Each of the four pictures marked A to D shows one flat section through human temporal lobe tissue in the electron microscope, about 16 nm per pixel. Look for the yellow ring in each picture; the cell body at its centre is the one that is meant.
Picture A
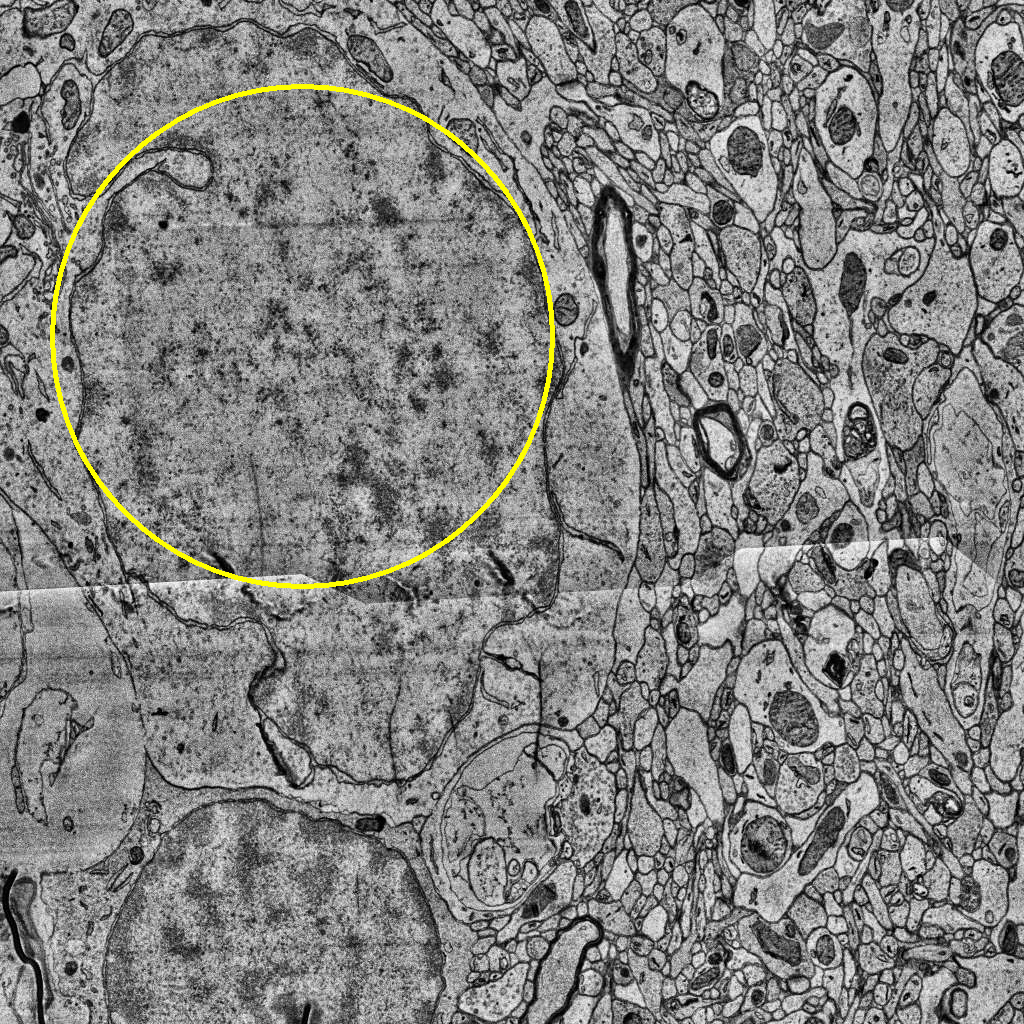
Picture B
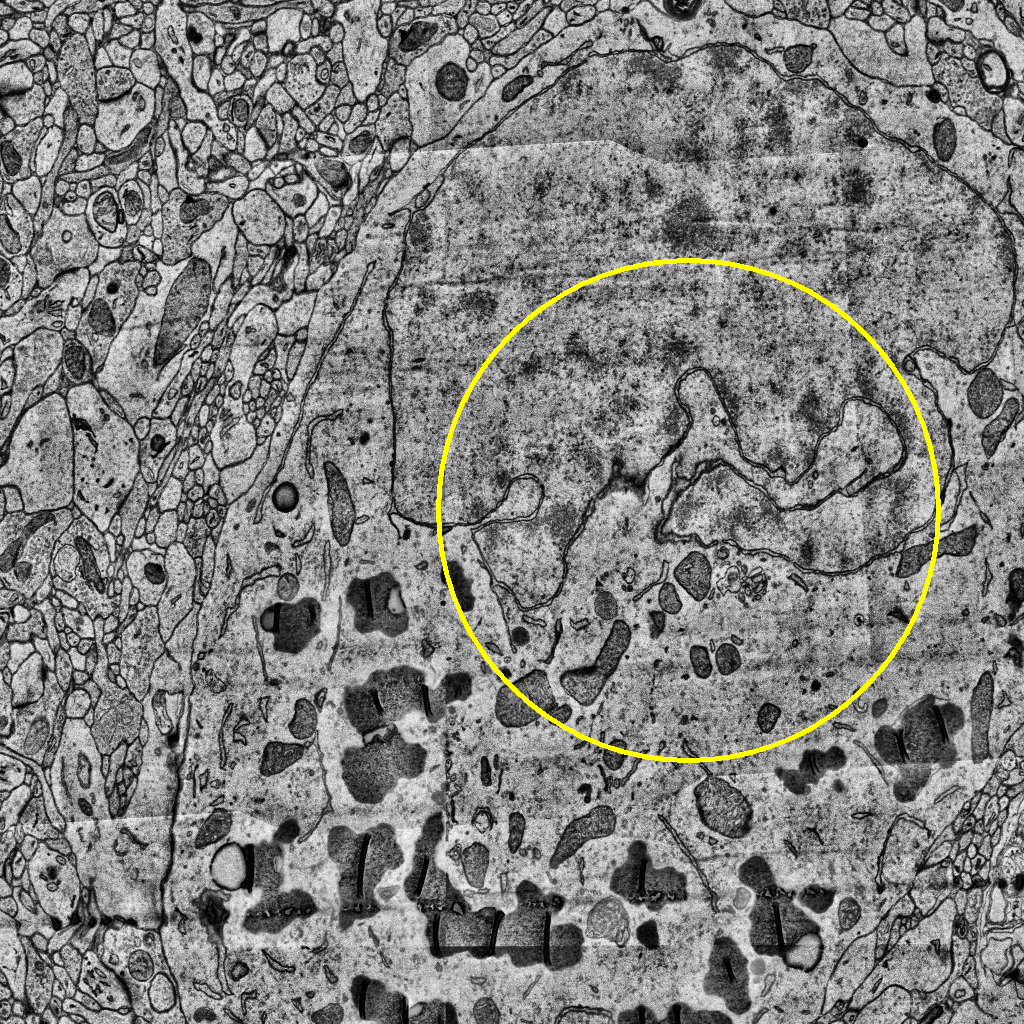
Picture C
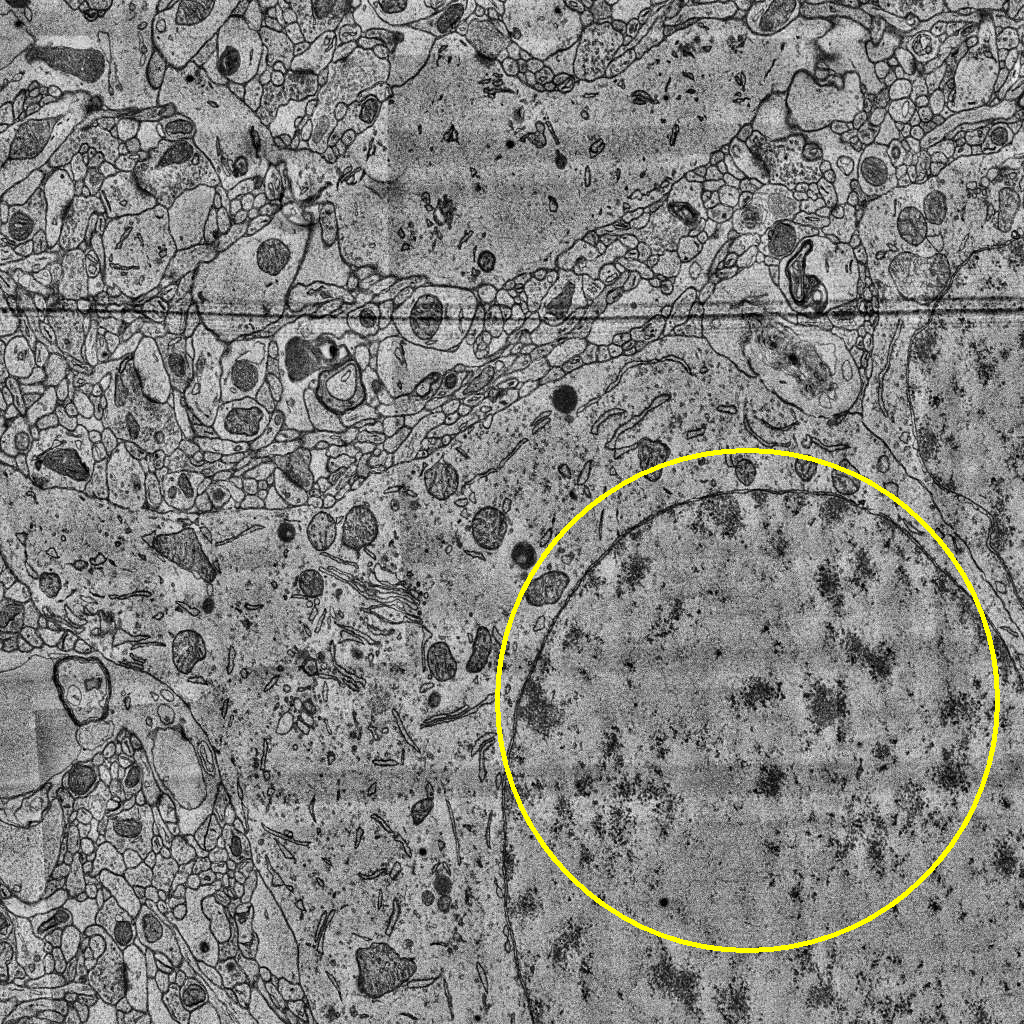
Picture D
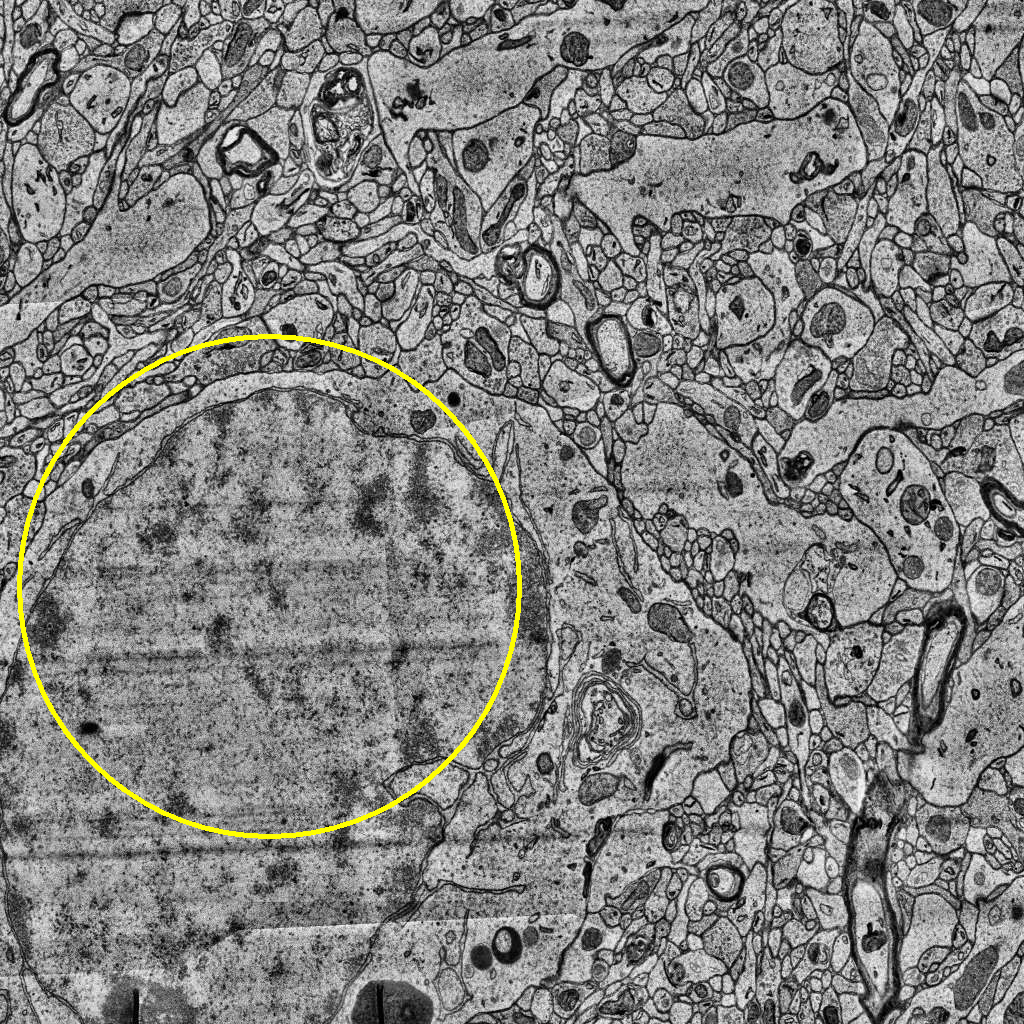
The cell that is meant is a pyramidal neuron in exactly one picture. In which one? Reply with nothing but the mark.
C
